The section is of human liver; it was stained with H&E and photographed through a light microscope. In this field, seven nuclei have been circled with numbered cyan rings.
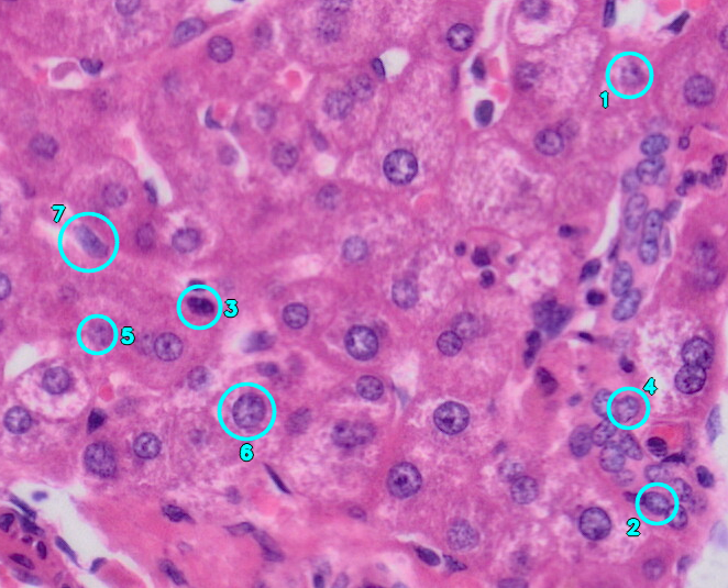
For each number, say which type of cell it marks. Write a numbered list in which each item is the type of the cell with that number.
1. hepatocyte
2. cholangiocyte
3. fibroblast or stellate cell
4. cholangiocyte
5. hepatocyte
6. hepatocyte
7. endothelial cell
